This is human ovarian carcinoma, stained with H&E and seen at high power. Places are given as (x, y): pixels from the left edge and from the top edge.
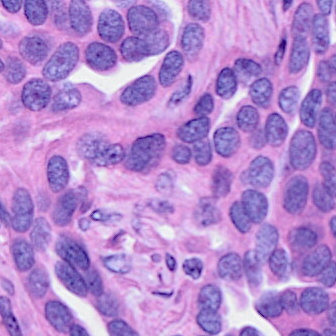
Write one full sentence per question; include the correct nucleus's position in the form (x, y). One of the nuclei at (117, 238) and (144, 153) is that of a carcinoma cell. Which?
The nucleus at (144, 153) is the one that belongs to a carcinoma cell.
